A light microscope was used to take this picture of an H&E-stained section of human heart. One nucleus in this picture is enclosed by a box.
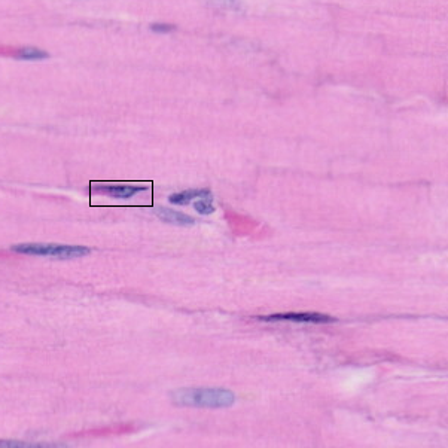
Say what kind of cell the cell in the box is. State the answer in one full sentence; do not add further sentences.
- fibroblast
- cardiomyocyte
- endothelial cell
Right, so the cell in the box is an endothelial cell, to answer that.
